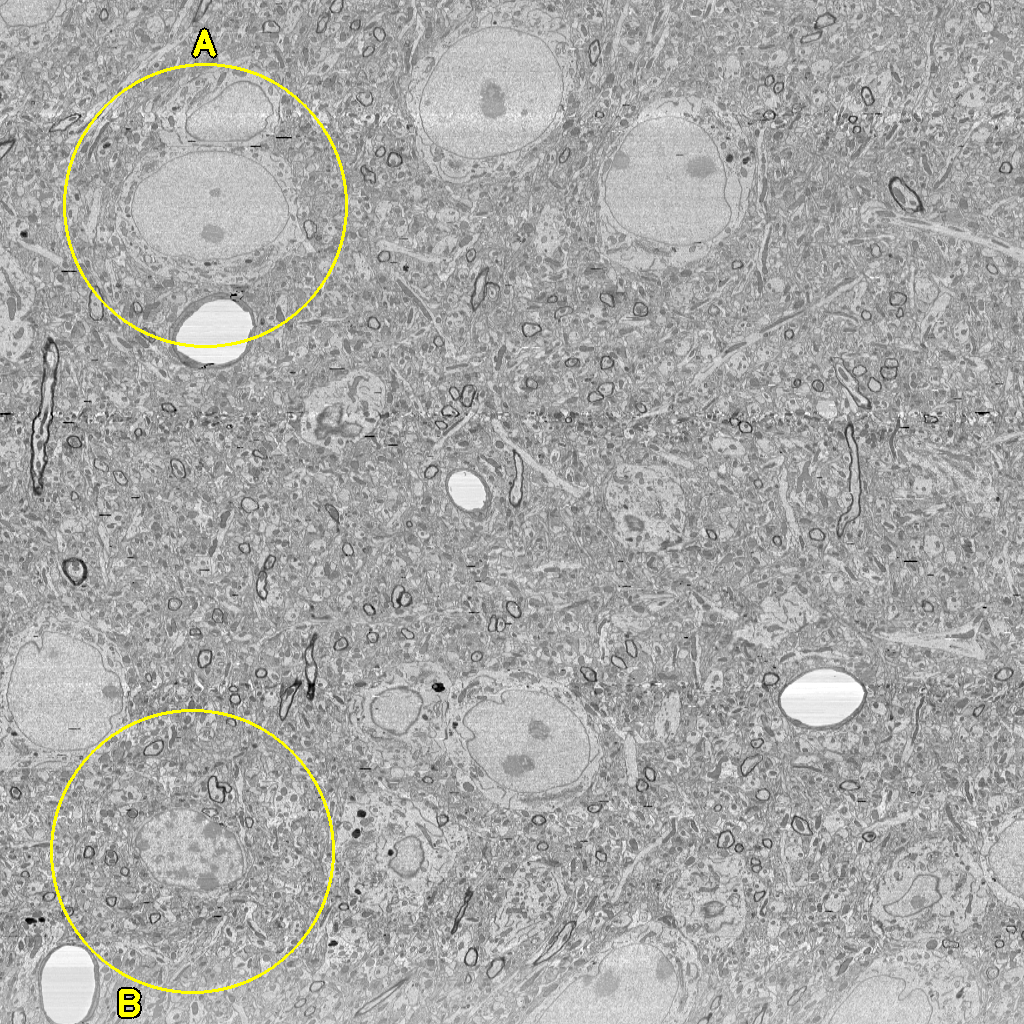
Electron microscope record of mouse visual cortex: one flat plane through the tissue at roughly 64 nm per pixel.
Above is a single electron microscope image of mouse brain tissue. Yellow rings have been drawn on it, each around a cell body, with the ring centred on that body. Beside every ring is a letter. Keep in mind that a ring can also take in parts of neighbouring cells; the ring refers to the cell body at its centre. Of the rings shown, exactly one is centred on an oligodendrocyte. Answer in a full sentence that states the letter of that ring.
The cell at the centre of ring B is the one asked for.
